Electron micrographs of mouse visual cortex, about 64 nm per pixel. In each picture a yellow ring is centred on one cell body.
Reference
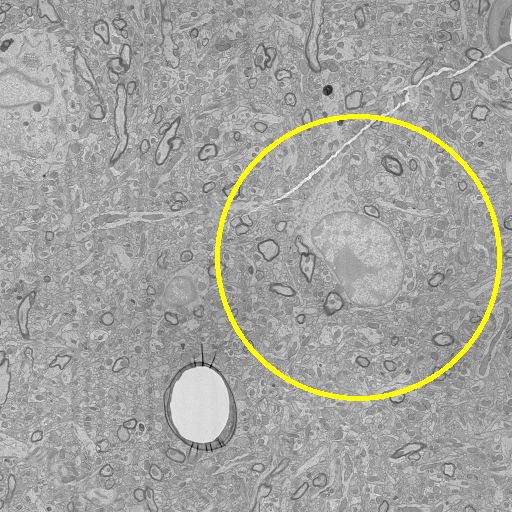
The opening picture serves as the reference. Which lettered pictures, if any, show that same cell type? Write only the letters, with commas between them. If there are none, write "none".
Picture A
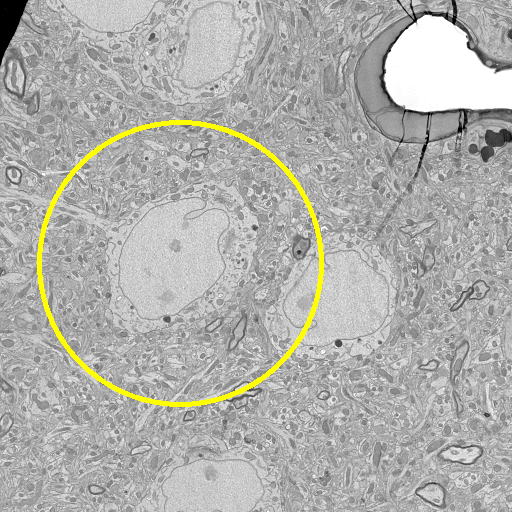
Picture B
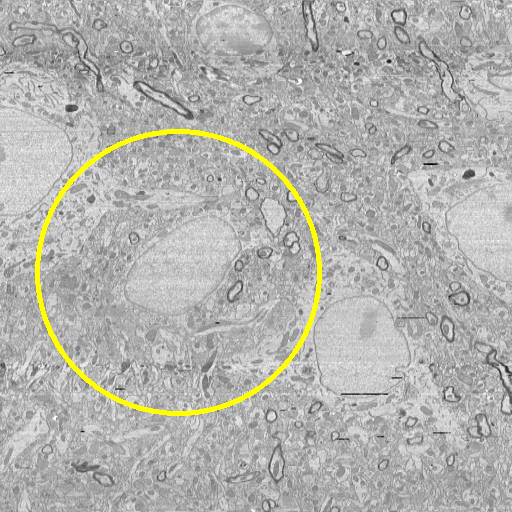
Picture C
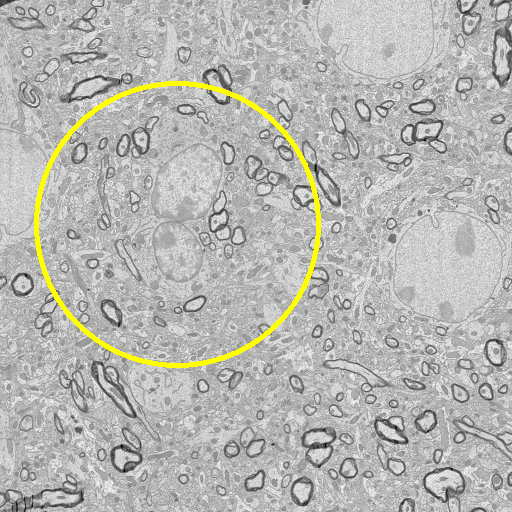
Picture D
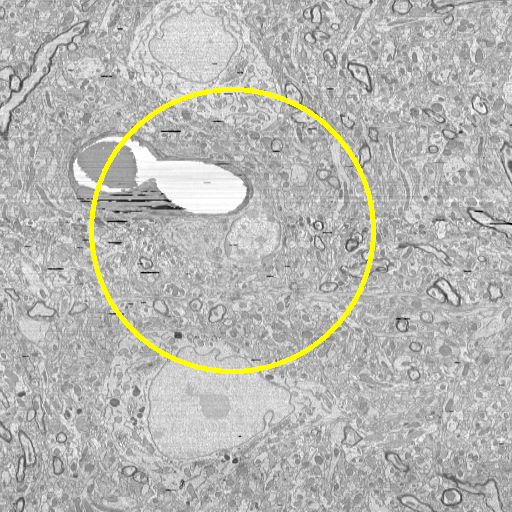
C, D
